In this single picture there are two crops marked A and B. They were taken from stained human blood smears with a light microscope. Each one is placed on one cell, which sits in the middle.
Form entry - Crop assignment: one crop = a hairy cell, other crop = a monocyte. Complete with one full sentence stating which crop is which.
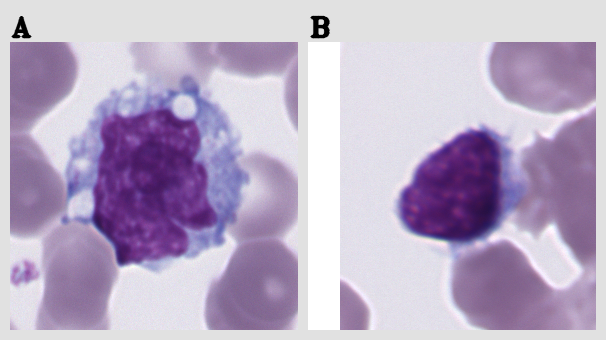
There is a monocyte in crop A and a hairy cell in crop B.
